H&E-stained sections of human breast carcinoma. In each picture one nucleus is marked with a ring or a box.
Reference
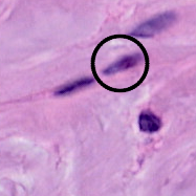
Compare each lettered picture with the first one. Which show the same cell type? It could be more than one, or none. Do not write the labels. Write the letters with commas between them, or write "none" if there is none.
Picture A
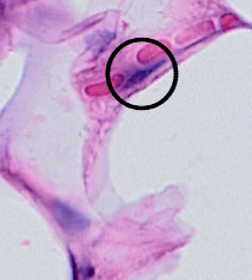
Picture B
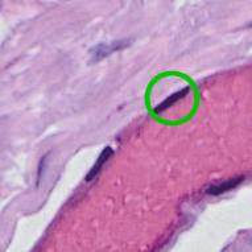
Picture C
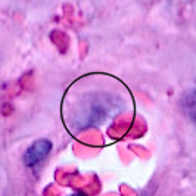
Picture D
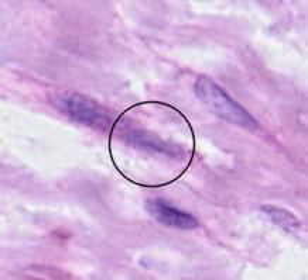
D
